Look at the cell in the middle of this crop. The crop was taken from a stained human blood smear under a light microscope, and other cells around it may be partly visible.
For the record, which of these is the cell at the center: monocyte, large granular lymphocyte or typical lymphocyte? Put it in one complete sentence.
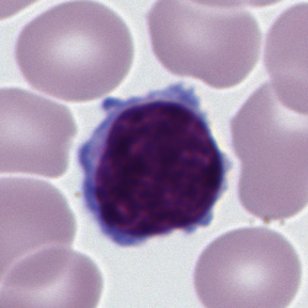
Seen at the centre of the crop is a typical lymphocyte.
